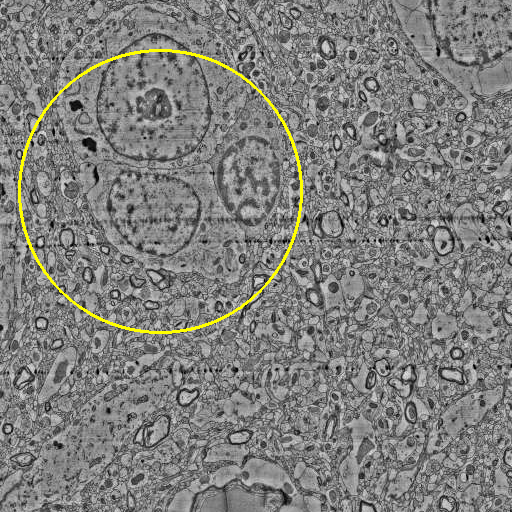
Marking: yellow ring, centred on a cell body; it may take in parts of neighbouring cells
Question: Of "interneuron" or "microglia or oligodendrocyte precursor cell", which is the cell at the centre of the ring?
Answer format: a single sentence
The ring surrounds the body of a microglial cell or oligodendrocyte precursor cell.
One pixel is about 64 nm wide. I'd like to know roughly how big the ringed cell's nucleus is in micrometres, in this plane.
The nucleus is approximately 6 micrometers long by 5 micrometers wide in this plane.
